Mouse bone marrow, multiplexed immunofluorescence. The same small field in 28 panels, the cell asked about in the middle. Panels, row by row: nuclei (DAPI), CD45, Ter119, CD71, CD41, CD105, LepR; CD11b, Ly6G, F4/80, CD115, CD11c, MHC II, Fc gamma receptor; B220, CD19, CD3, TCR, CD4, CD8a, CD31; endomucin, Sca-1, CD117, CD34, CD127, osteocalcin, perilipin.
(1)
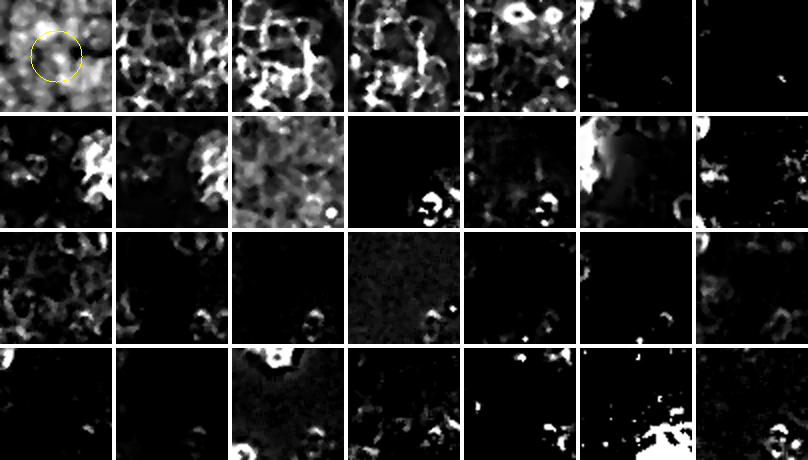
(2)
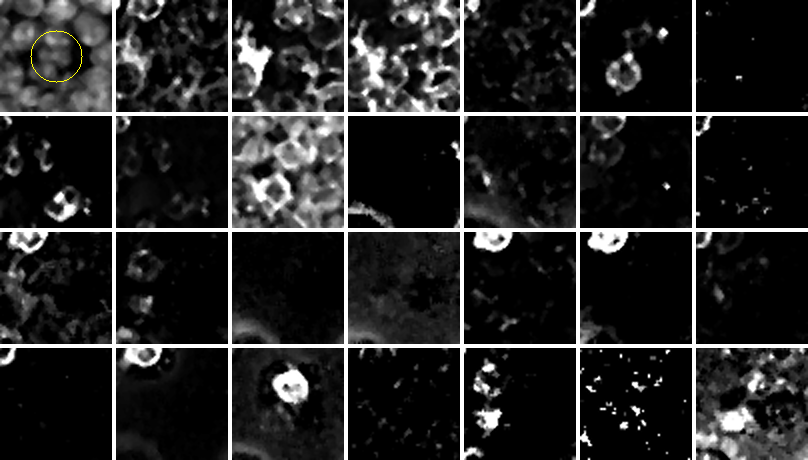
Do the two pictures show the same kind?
Yes, both are erythroblasts.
